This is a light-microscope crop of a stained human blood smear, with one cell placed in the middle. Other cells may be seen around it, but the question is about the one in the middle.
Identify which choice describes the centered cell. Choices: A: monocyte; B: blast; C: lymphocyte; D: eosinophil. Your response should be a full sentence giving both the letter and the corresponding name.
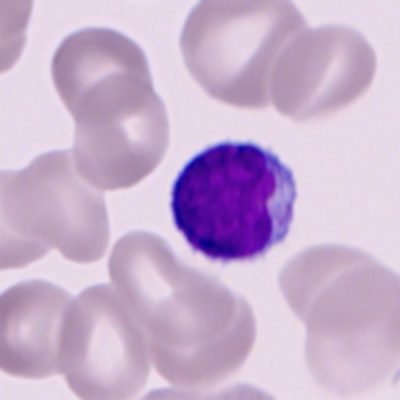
Option C correctly states that the central cell is a lymphocyte.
